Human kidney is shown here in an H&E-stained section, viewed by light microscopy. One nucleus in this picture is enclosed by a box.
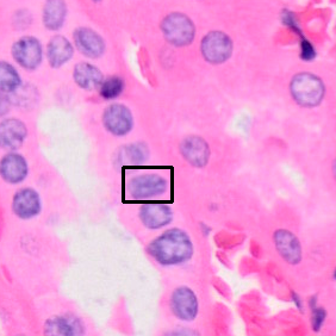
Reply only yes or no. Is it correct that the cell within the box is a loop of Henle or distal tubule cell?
no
